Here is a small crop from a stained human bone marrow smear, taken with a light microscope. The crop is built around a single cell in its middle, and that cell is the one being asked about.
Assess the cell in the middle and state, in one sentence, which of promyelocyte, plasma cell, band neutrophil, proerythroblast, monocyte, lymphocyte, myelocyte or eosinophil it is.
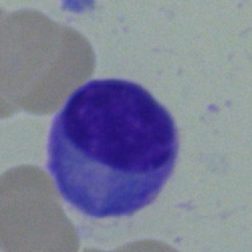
The cell at the heart of this crop is a plasma cell.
